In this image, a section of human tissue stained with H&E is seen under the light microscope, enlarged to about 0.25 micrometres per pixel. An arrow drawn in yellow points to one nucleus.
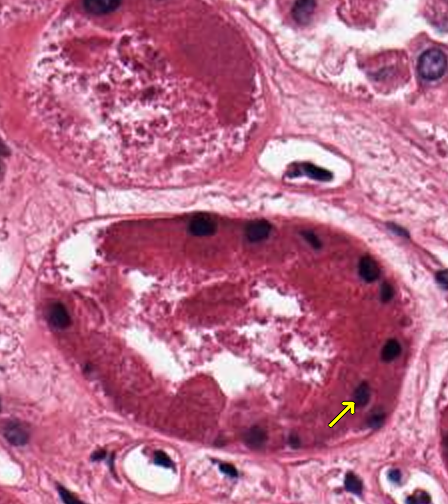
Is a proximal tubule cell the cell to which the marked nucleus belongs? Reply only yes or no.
yes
